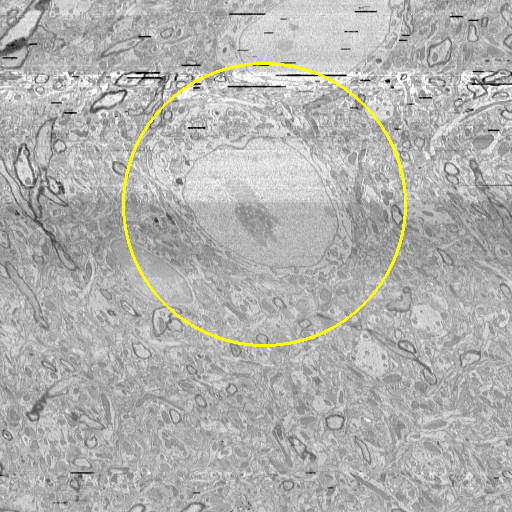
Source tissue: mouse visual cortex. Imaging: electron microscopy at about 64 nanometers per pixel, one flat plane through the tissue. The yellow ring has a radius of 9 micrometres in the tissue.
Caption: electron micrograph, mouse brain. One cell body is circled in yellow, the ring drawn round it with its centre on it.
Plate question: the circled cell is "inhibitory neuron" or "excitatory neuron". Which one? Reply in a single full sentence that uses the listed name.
The yellow ring on the plate is centred on an inhibitory neuron, going by the listed names.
